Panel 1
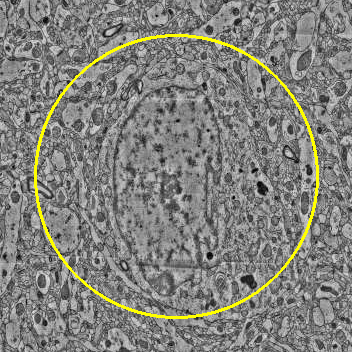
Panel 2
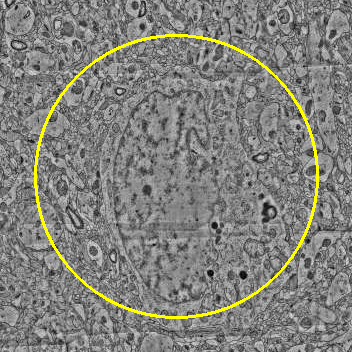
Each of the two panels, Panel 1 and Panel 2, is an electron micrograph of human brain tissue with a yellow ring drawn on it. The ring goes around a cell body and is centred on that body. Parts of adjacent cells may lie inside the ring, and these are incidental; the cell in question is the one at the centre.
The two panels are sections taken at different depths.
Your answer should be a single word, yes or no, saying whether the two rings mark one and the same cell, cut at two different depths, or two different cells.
yes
